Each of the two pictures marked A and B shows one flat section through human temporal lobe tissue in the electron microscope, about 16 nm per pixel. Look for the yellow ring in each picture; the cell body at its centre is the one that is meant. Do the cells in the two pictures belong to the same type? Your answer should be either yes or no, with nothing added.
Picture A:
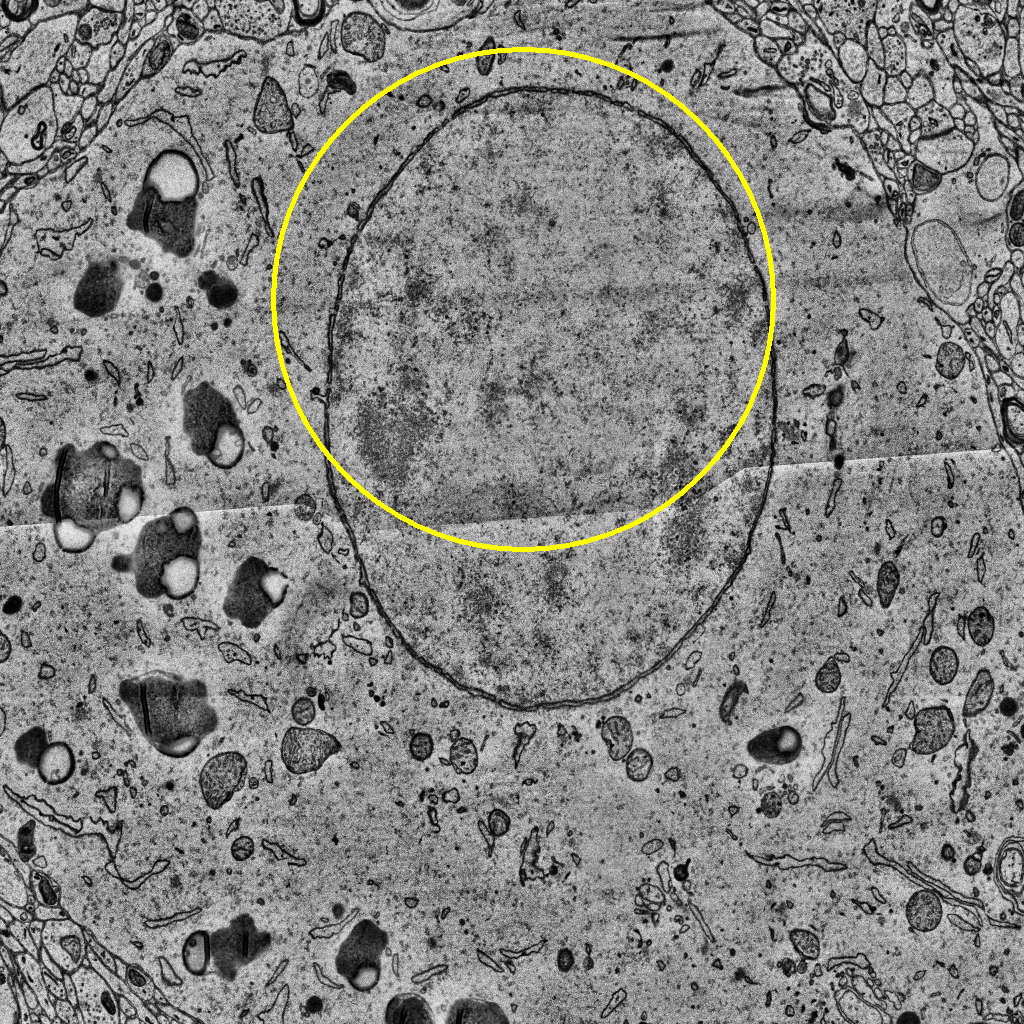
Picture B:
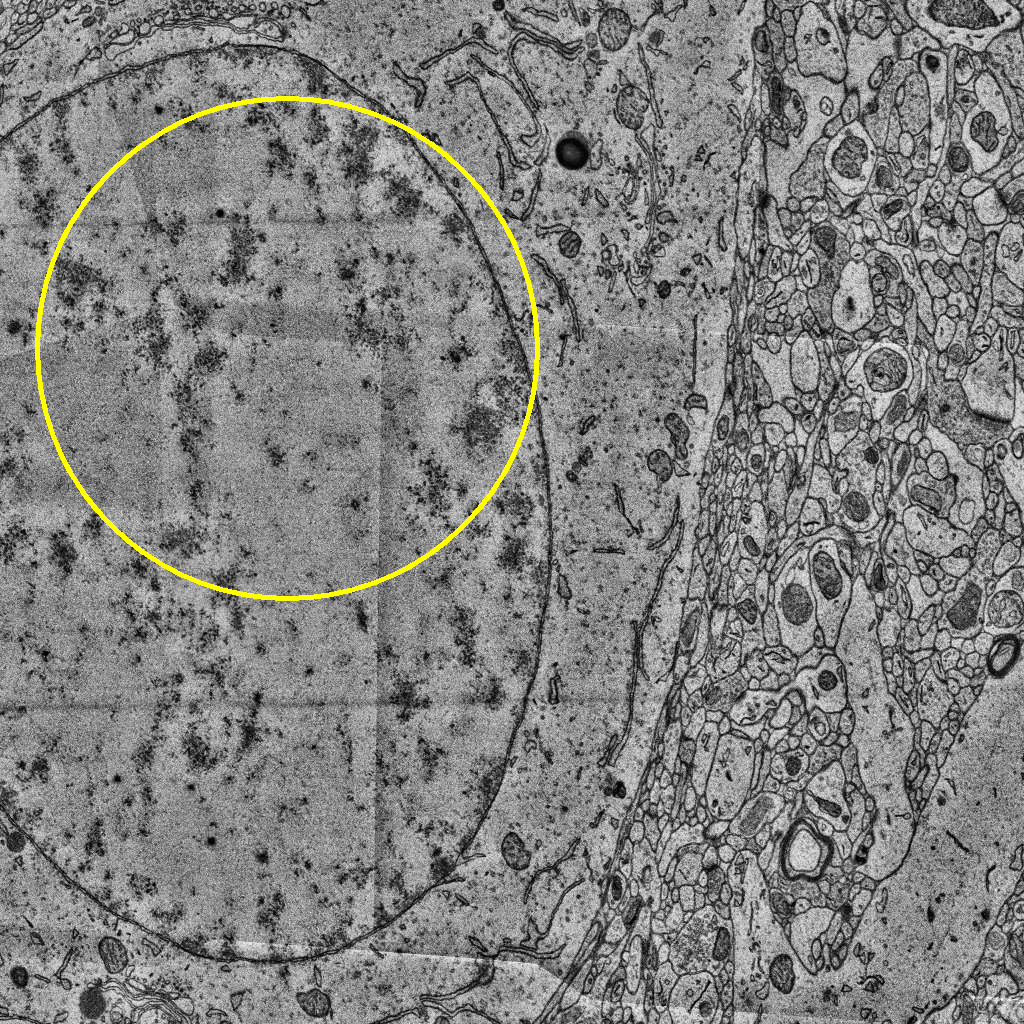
yes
